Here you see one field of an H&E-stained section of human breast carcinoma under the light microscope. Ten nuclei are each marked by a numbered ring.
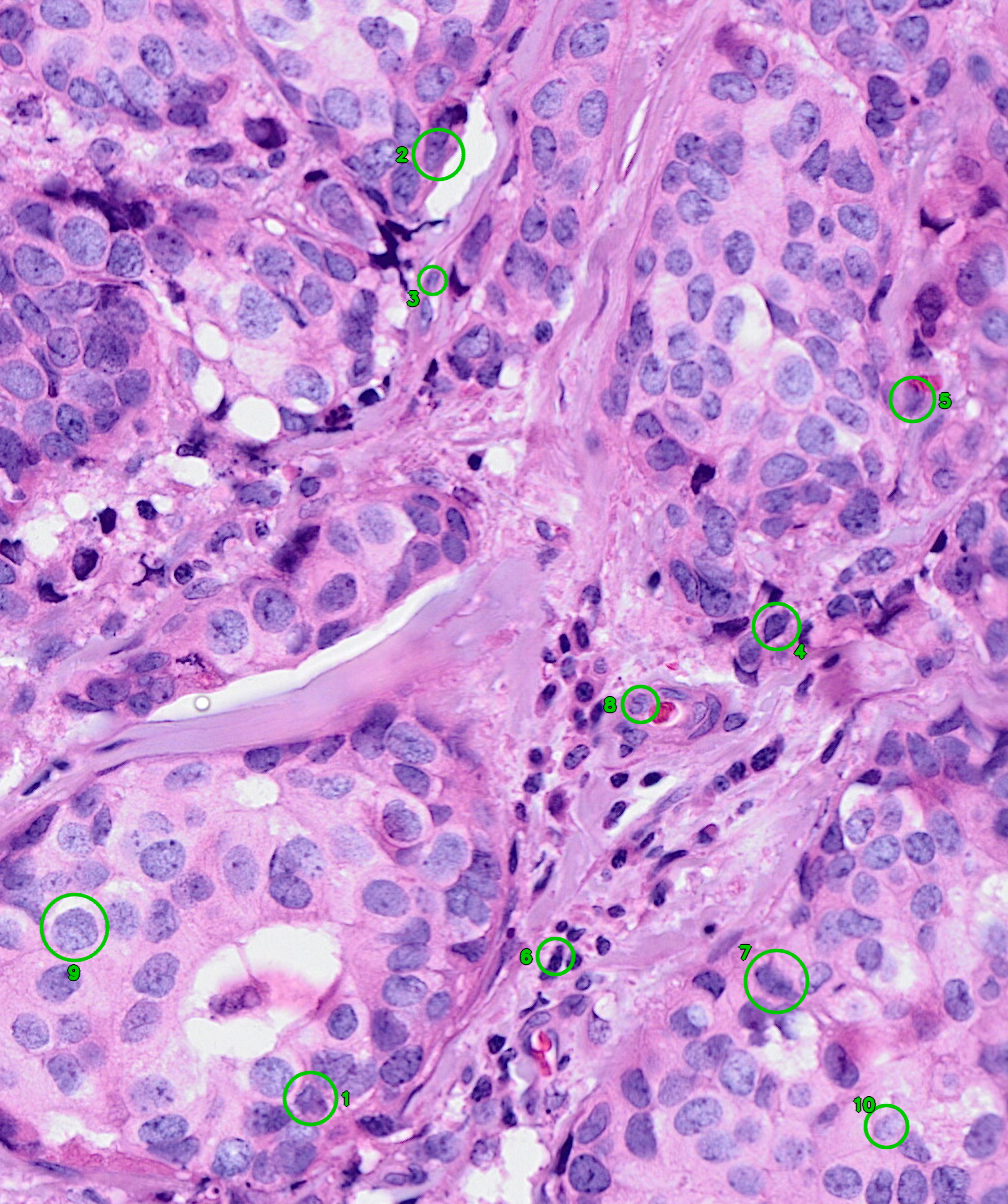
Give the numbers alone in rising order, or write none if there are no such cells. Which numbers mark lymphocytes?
6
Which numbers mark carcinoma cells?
1, 2, 4, 7, 9, 10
